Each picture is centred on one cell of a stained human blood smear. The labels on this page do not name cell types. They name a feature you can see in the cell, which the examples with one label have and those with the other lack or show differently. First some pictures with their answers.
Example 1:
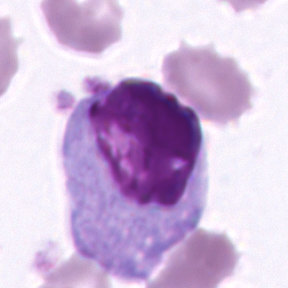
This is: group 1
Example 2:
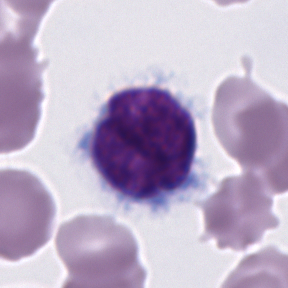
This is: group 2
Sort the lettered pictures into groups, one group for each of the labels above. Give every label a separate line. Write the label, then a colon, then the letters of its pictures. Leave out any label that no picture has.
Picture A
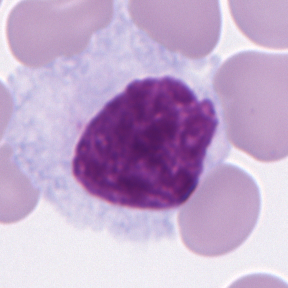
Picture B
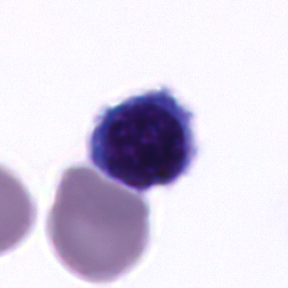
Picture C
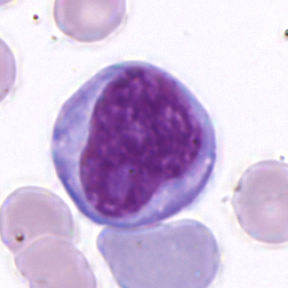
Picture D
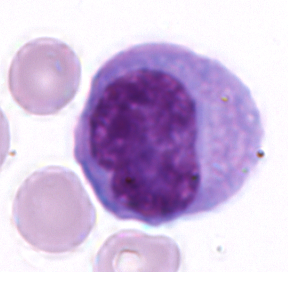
group 1: A, D
group 2: B, C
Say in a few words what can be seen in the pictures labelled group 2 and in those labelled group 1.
In group 2: scant cytoplasm. In group 1: abundant cytoplasm.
